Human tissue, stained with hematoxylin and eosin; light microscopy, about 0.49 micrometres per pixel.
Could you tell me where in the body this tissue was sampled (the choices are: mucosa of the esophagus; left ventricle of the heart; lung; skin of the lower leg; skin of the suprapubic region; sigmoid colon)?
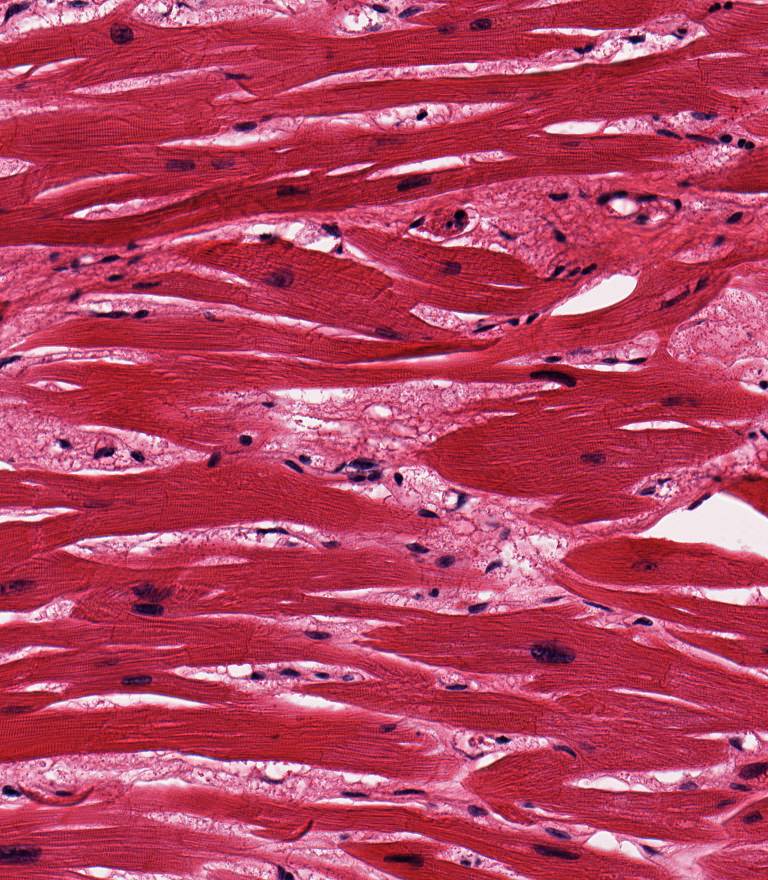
left ventricle of the heart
